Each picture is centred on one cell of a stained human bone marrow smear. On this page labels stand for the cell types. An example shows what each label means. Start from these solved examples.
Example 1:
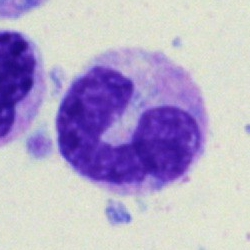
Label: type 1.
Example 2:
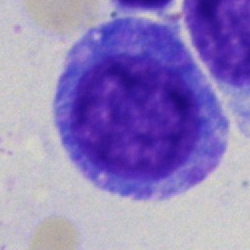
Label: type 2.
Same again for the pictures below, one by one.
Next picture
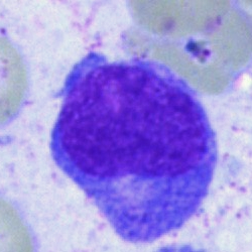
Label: type 2.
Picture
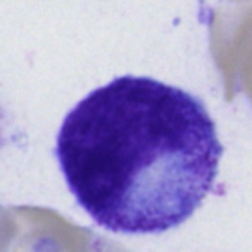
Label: type 2.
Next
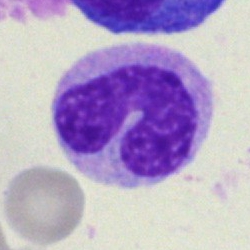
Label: type 1.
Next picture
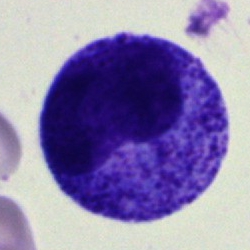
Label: type 2.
